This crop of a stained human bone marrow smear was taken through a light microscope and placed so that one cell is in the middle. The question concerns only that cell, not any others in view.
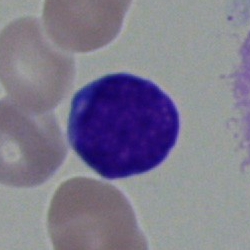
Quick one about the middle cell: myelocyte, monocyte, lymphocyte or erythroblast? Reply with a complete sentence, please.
The central cell, amid any neighbouring cells, is a lymphocyte.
